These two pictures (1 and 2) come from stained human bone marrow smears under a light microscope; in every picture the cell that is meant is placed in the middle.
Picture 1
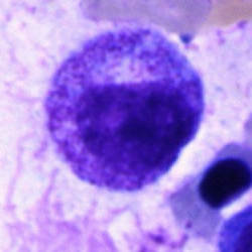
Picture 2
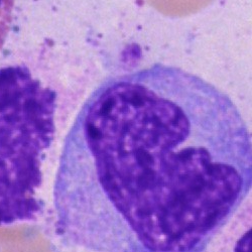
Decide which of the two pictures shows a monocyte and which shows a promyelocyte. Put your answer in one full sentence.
In picture 1 the cell is a promyelocyte; in picture 2, a monocyte.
